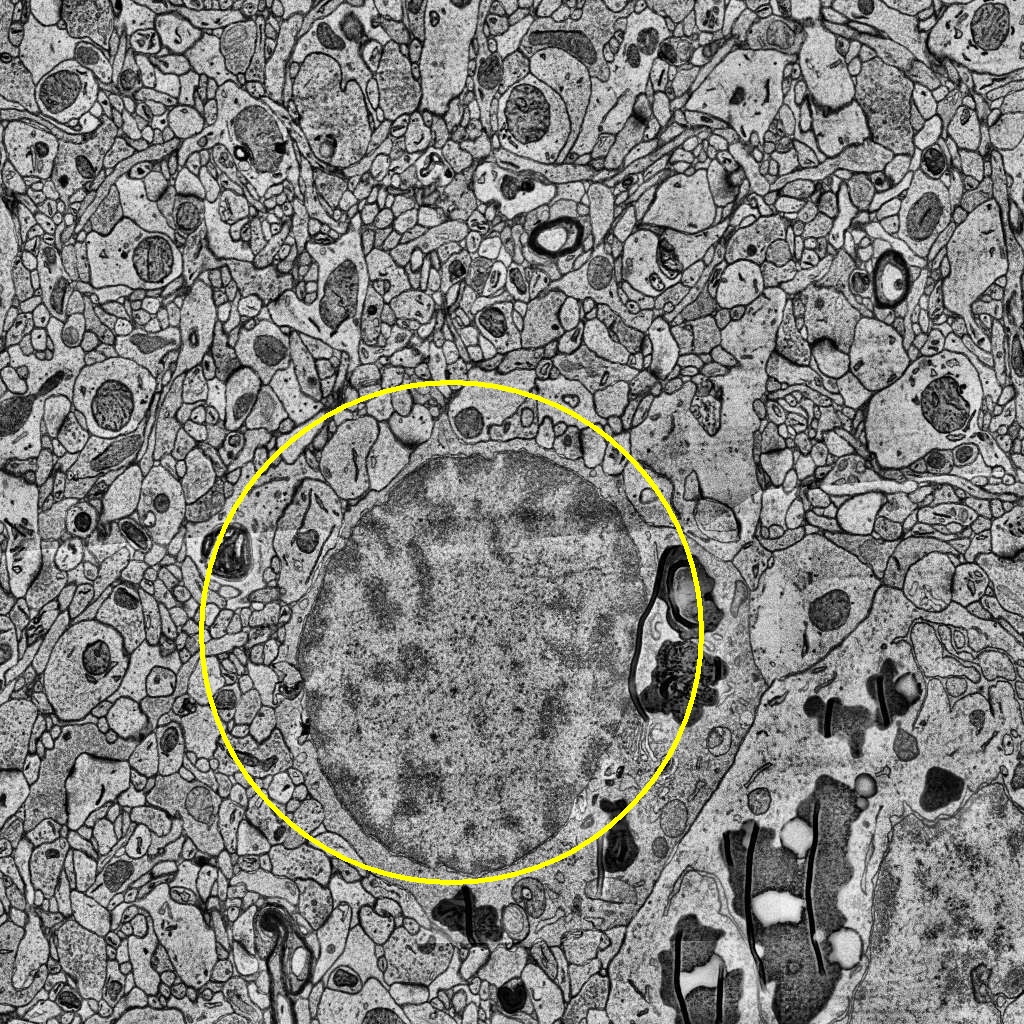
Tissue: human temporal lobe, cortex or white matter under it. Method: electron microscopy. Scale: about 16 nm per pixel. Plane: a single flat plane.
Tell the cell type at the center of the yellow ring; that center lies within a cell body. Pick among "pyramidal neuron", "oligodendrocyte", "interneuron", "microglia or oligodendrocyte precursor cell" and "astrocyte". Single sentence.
The ring's center lies in the body of an oligodendrocyte.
